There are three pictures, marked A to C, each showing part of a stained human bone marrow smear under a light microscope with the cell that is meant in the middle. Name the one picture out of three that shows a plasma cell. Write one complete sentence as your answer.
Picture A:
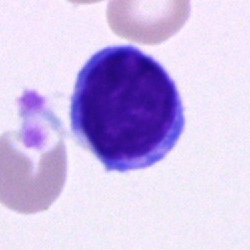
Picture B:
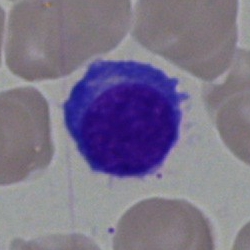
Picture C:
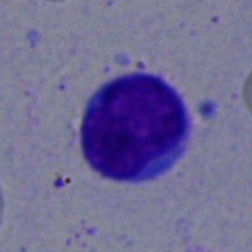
It is picture B that shows the plasma cell.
